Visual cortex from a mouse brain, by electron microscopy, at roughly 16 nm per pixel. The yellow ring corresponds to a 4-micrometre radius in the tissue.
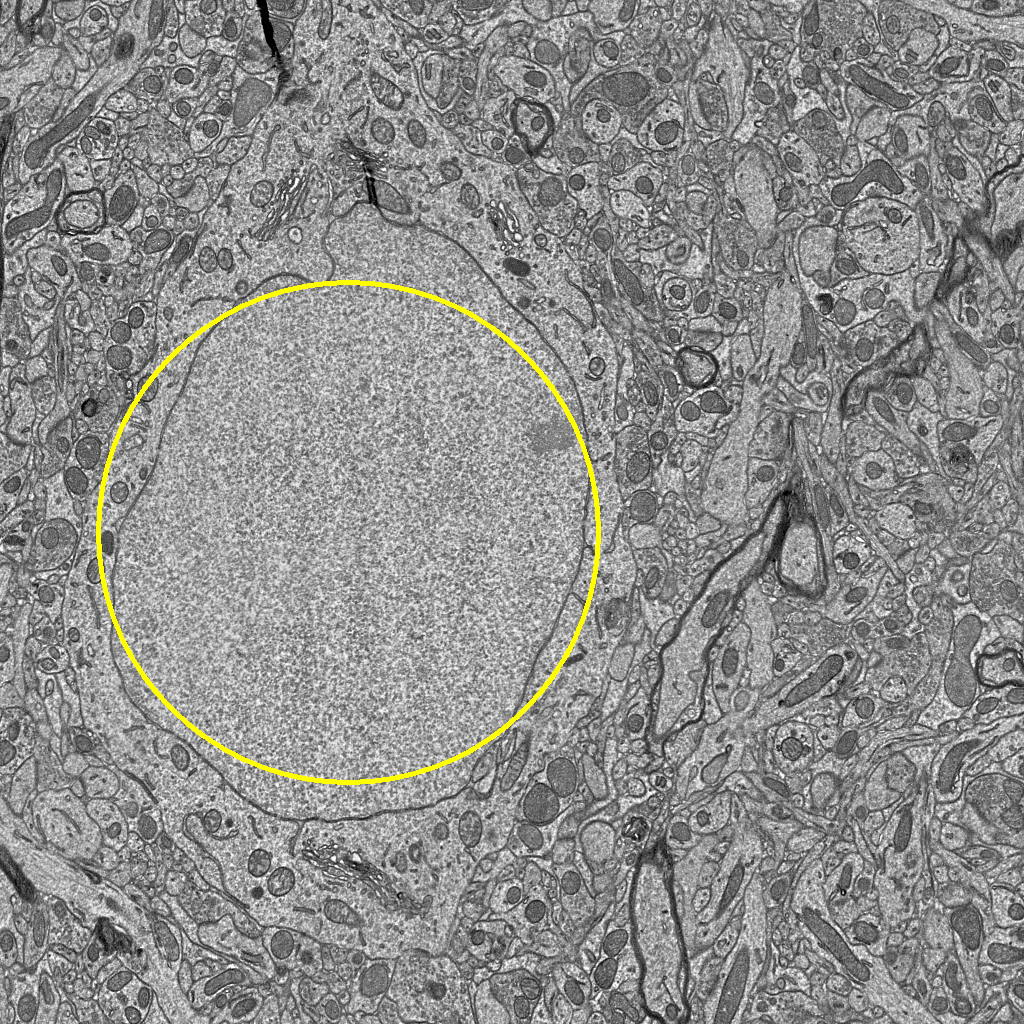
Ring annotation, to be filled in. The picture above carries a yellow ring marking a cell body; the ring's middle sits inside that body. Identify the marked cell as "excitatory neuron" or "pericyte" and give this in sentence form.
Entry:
The cell at the middle of the ring is an excitatory neuron.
